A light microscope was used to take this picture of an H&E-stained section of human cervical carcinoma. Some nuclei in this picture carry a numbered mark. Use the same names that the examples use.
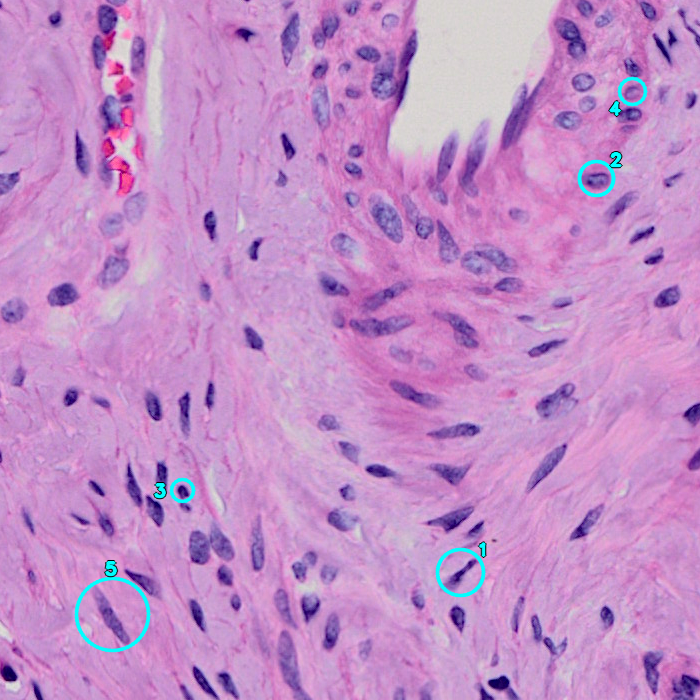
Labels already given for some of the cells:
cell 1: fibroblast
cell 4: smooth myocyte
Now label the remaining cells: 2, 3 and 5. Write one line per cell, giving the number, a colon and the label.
2: smooth myocyte
3: fibroblast
5: fibroblast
